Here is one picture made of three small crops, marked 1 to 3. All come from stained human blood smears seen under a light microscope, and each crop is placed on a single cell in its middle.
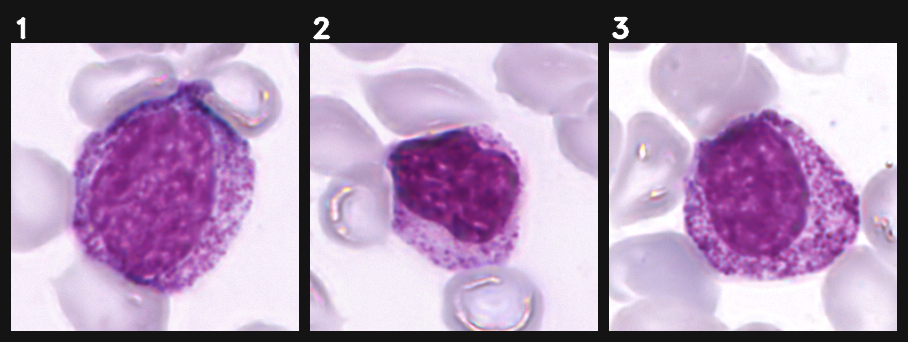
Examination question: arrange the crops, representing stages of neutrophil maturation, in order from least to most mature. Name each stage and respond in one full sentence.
The stages, ordered from least to most mature, are crop 1 (a promyelocyte), crop 3 (a myelocyte) and crop 2 (a band neutrophil).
